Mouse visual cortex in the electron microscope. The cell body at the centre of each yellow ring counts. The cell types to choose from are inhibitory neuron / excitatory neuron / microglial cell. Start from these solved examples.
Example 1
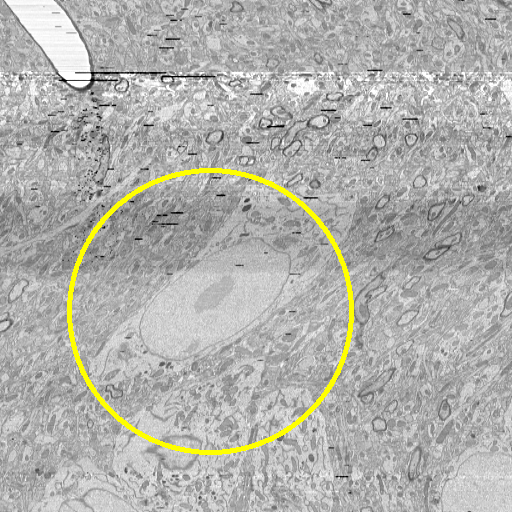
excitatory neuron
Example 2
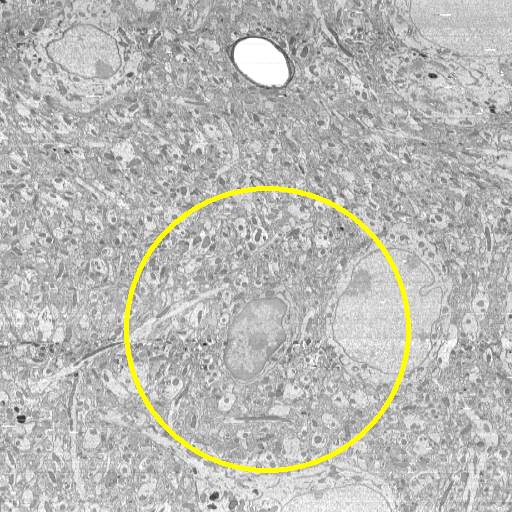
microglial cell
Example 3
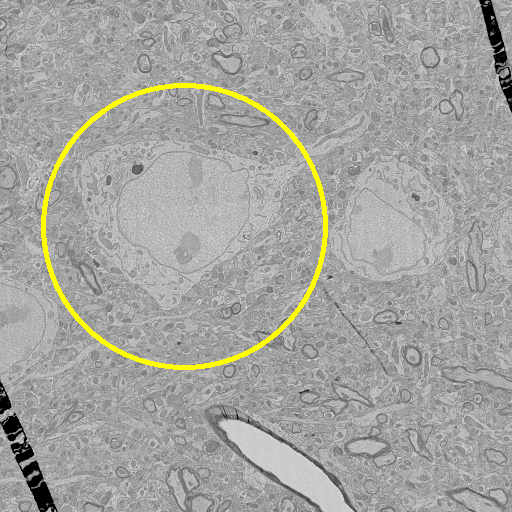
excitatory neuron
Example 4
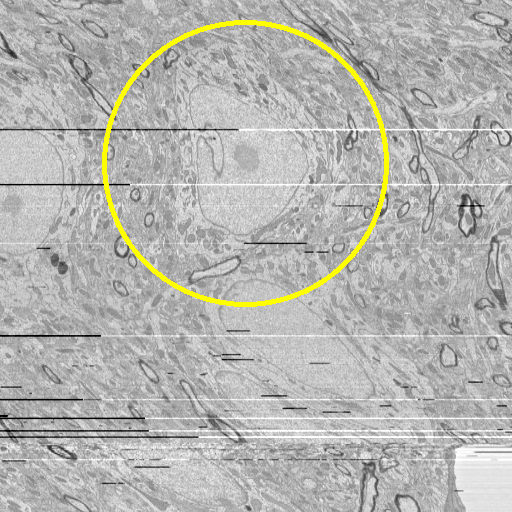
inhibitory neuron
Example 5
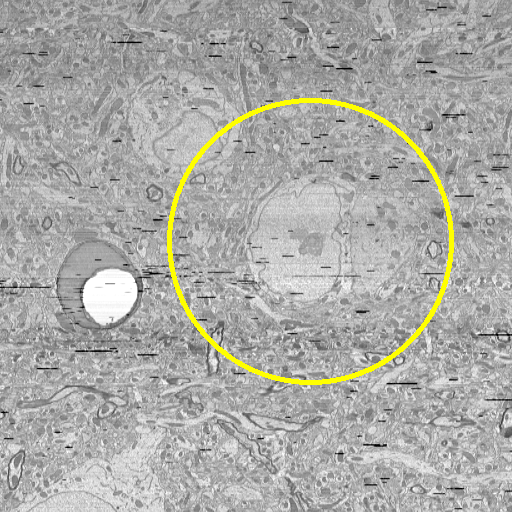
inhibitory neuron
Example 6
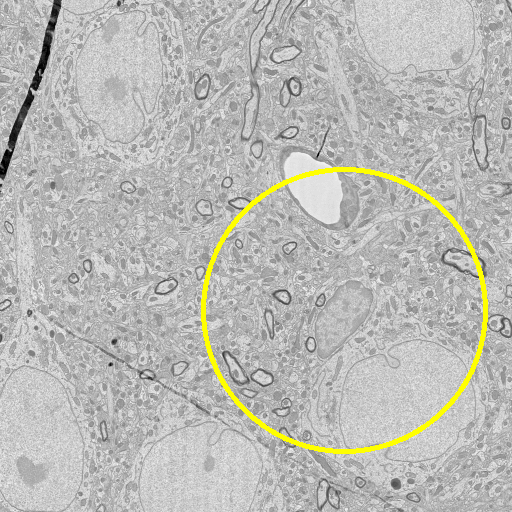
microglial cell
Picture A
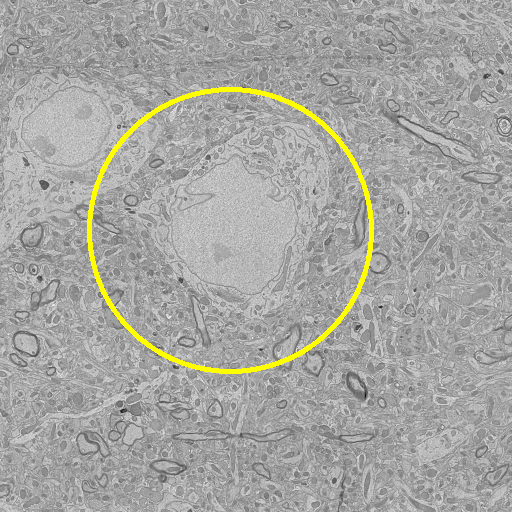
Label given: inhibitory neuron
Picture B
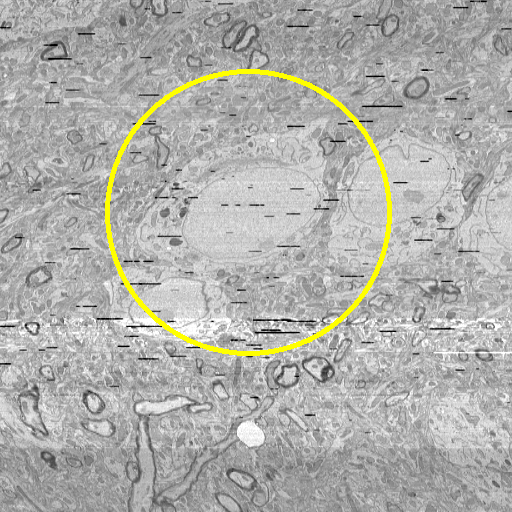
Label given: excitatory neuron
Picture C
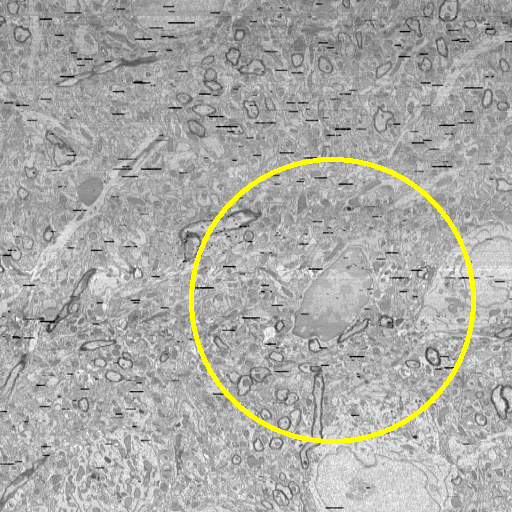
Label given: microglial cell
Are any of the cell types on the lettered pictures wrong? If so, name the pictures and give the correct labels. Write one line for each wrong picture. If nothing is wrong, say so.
Every label is right.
